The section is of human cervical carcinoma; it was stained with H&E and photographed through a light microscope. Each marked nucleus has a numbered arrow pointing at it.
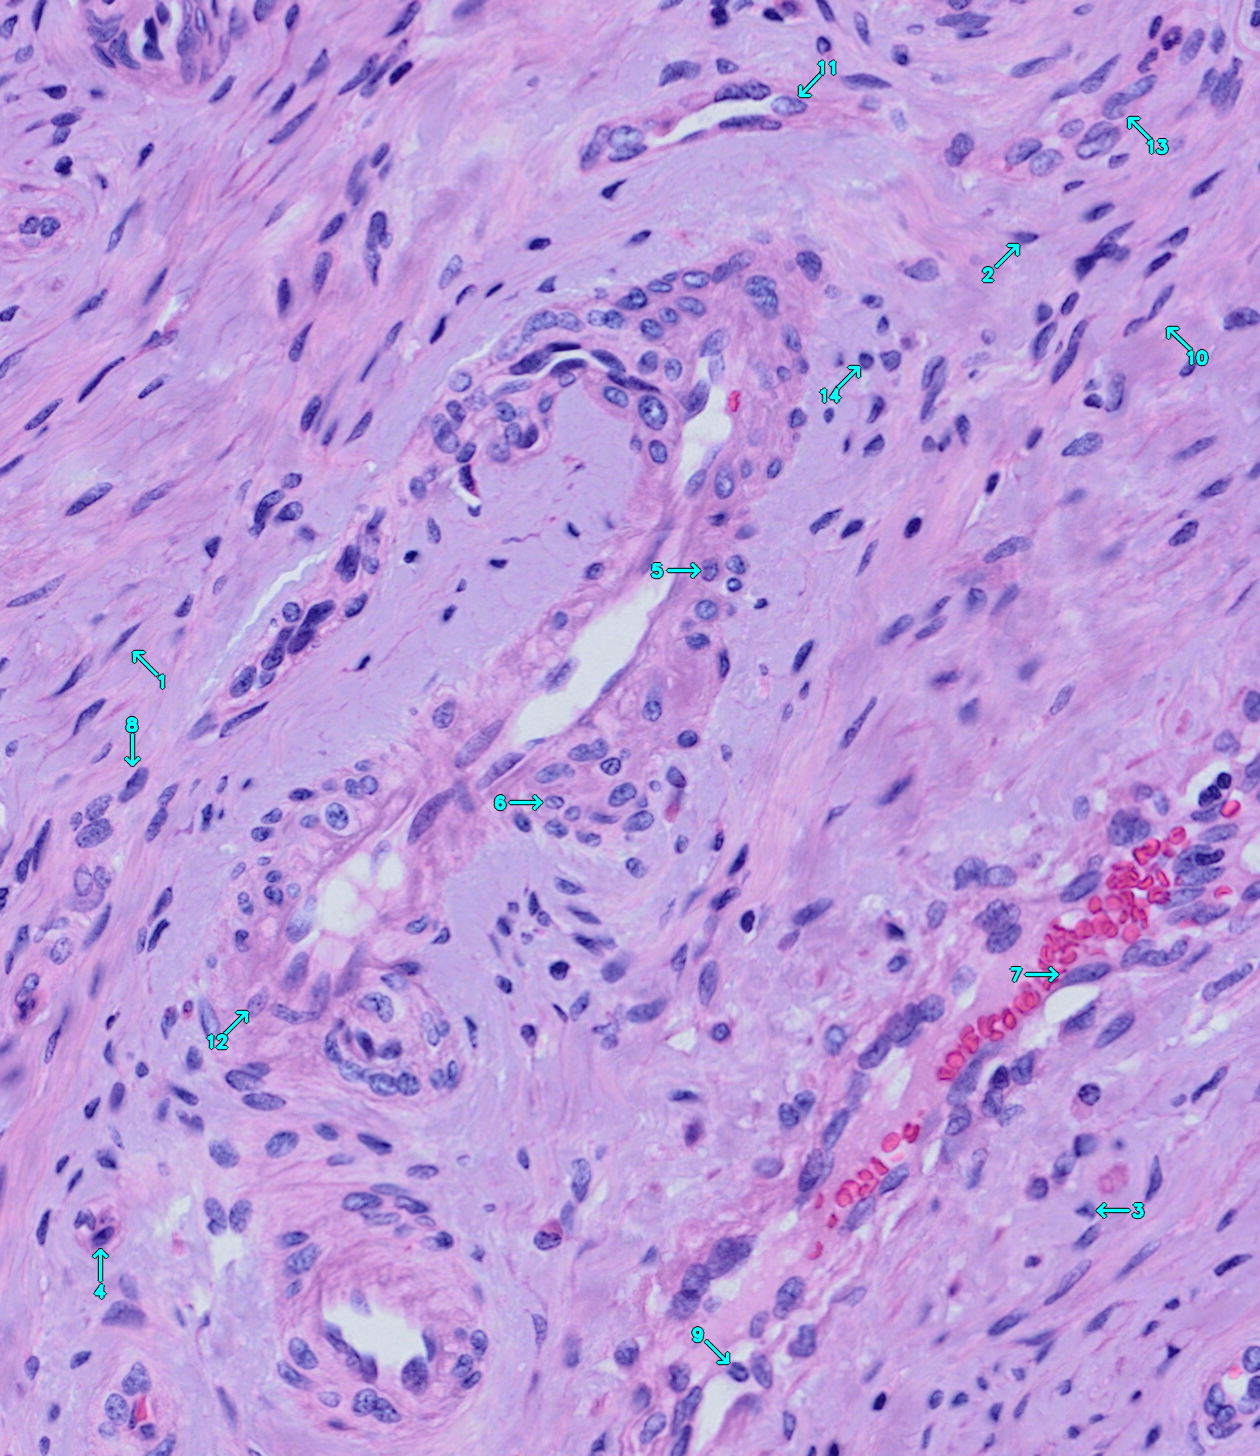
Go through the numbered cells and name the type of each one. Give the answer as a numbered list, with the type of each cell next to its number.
1. fibroblast
2. fibroblast
3. fibroblast
4. endothelial cell
5. smooth muscle cell
6. smooth muscle cell
7. endothelial cell
8. fibroblast
9. lymphocyte
10. fibroblast
11. endothelial cell
12. smooth muscle cell
13. endothelial cell
14. fibroblast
